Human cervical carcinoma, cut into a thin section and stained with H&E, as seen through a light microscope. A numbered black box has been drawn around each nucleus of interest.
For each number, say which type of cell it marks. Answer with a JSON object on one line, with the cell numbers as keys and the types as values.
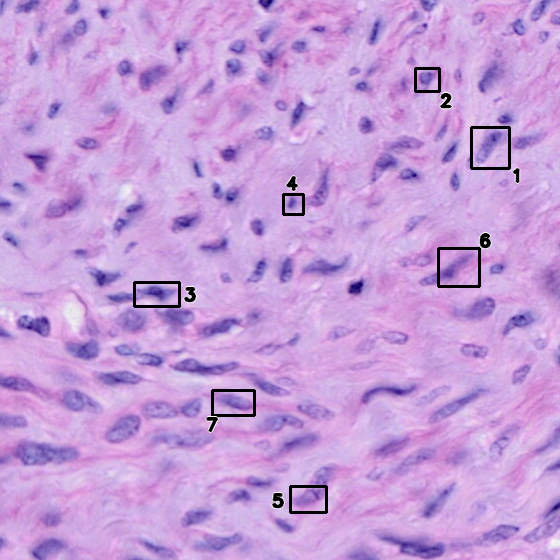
{"1": "fibroblast", "2": "smooth muscle cell", "3": "fibroblast", "4": "fibroblast", "5": "smooth muscle cell", "6": "smooth muscle cell", "7": "smooth muscle cell"}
